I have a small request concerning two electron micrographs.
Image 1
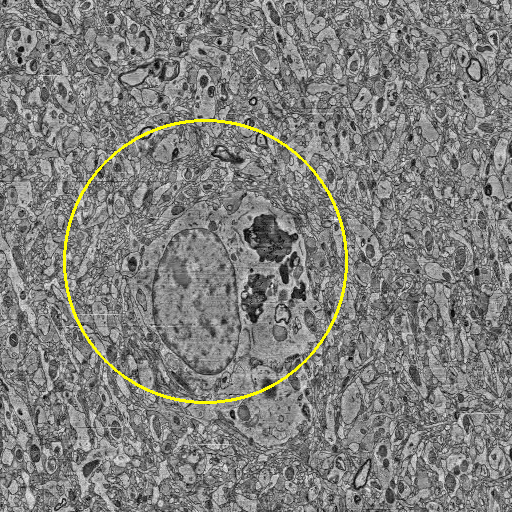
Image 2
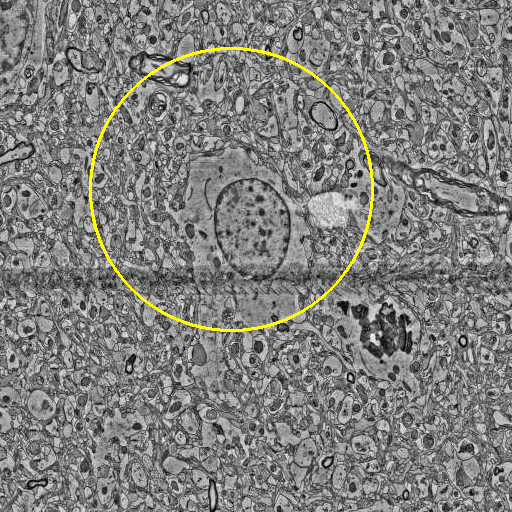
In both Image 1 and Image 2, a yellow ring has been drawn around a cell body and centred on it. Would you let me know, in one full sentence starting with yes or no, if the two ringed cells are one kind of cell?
Yes, the cells ringed in Image 1 and Image 2 are one kind of cell.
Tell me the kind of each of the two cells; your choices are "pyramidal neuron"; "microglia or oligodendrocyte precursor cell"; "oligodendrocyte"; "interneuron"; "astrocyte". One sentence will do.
The first and the second cell are each an astrocyte.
